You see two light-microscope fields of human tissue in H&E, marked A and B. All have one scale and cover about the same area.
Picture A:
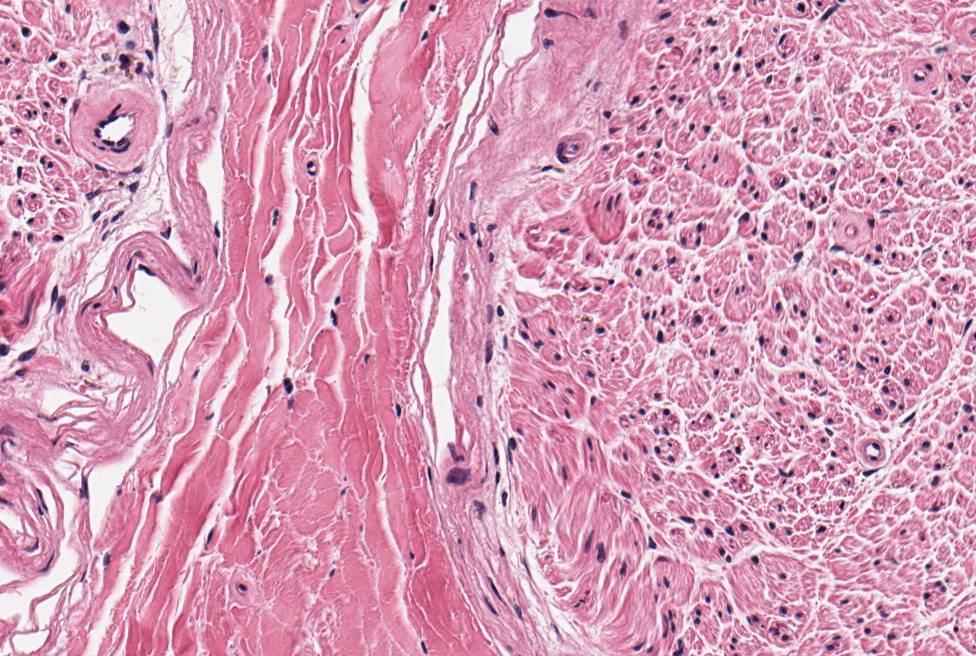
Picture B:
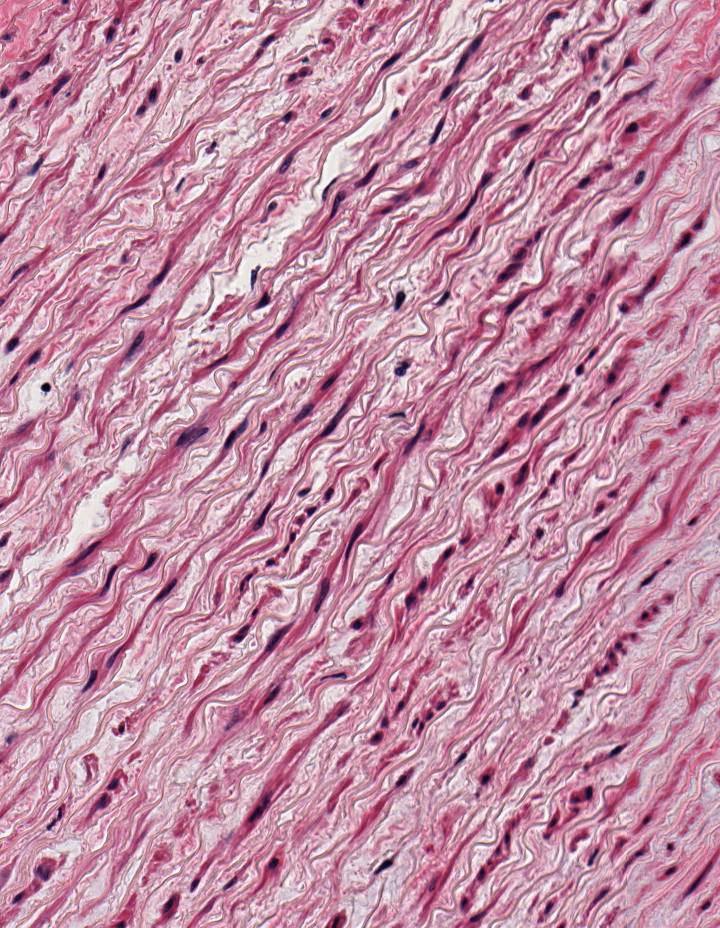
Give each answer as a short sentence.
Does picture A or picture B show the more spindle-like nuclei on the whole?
Longer, more slender nuclei lie in picture B.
